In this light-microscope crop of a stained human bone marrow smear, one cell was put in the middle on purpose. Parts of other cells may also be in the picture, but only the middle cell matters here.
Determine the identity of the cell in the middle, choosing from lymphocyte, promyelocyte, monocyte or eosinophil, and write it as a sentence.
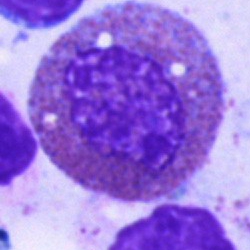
What the crop centres on is an eosinophil.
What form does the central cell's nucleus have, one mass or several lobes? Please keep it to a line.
The cell carries one compact nucleus shaped round, oval or like a kidney.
